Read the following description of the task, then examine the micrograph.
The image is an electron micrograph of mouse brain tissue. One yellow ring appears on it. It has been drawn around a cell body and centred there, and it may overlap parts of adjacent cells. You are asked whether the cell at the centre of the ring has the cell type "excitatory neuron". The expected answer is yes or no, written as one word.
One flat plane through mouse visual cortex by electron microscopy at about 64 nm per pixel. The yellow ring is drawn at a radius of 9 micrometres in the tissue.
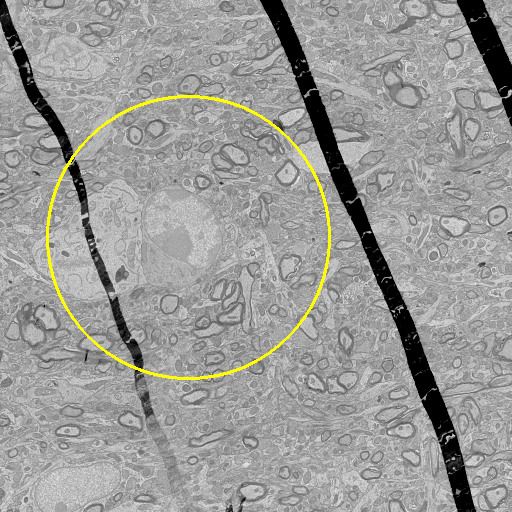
no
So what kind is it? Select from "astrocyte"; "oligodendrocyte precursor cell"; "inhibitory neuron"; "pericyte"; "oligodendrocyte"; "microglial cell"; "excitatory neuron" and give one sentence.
It is an oligodendrocyte that the ring is centred on.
